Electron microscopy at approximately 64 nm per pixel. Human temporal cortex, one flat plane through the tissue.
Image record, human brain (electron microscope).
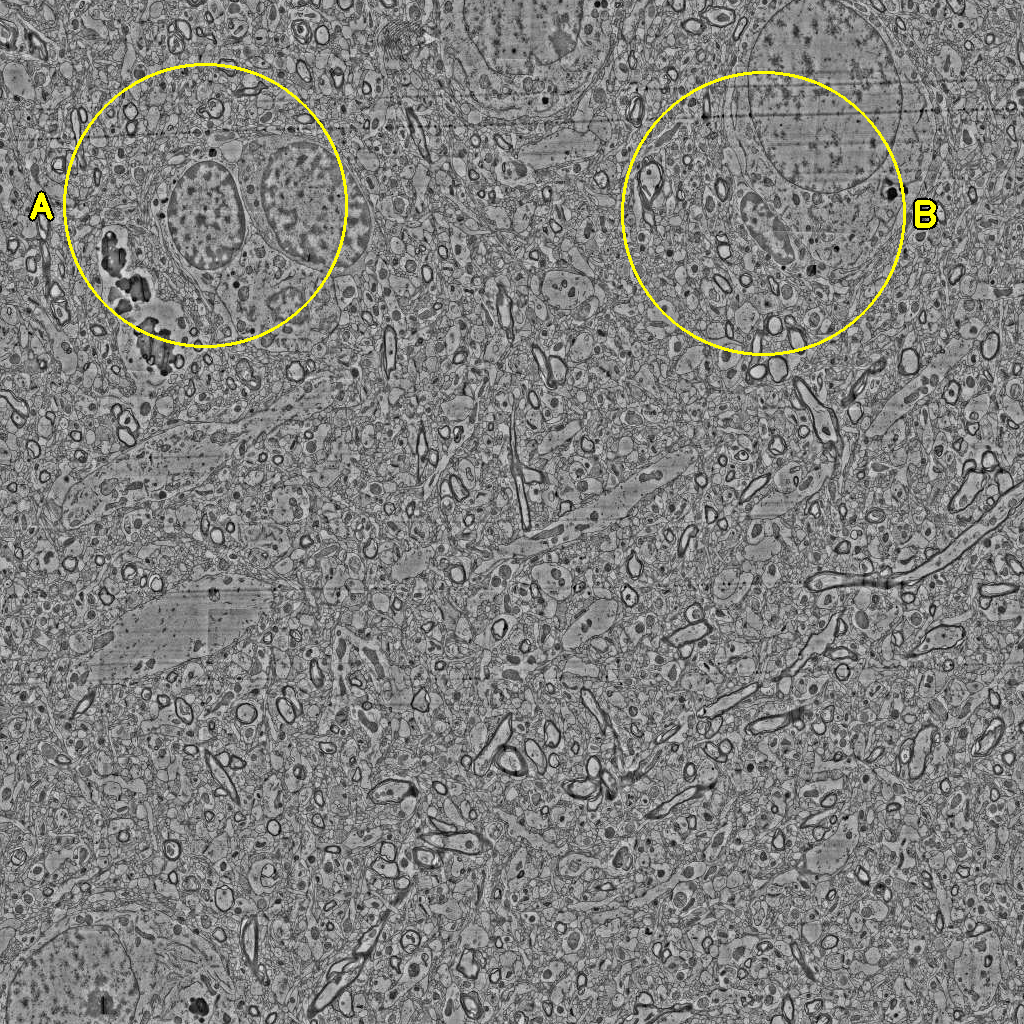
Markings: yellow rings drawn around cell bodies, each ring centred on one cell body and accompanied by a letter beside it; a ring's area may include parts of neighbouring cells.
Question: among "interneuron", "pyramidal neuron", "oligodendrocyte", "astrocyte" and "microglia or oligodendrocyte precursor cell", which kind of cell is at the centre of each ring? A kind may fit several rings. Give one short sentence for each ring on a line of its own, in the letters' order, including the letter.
Ring A is centred on the cell body of a microglial cell or oligodendrocyte precursor cell.
Ring B is centred on the cell body of a microglial cell or oligodendrocyte precursor cell.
